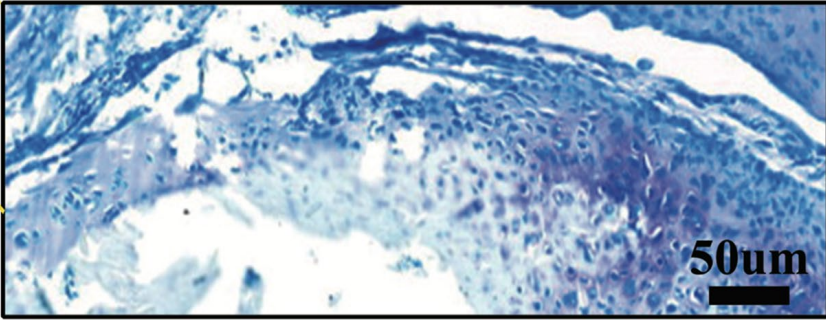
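A blue-stained tissue is crowded with small cells, with a patchy purple tinge toward the right, and a layer of elongated, flattened cells lies along its upper surface. The cells are not clearly set in lacunae and the matrix is irregular, with clefts and pale gaps toward the lower left.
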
